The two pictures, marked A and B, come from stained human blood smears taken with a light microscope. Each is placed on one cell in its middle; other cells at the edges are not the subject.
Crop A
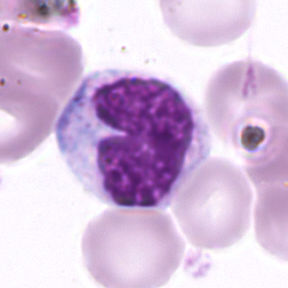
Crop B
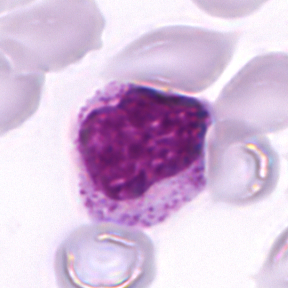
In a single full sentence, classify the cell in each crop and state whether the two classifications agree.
Yes, in the case of both crops, the central cells are band neutrophils.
